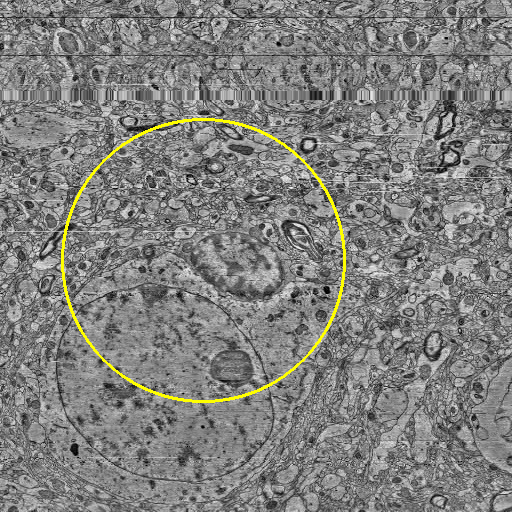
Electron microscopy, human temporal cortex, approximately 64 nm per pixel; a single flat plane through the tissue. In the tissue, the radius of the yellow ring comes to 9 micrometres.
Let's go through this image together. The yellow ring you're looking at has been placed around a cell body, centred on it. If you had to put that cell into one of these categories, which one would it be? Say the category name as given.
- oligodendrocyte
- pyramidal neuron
oligodendrocyte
